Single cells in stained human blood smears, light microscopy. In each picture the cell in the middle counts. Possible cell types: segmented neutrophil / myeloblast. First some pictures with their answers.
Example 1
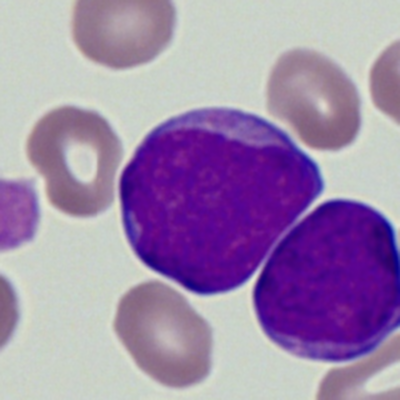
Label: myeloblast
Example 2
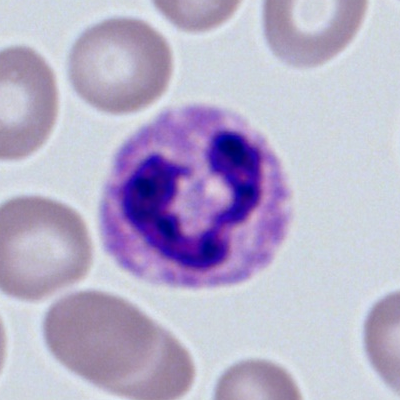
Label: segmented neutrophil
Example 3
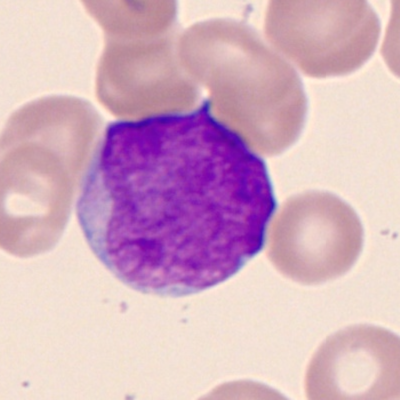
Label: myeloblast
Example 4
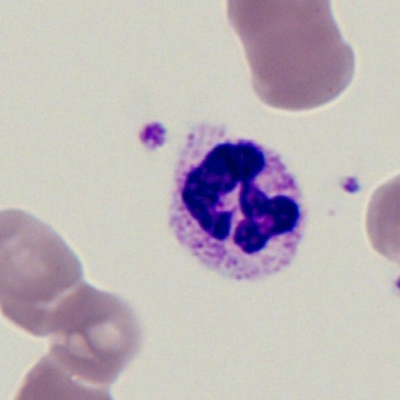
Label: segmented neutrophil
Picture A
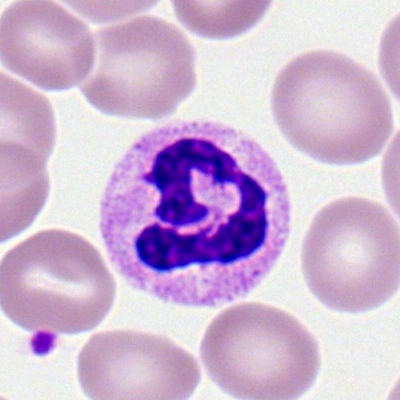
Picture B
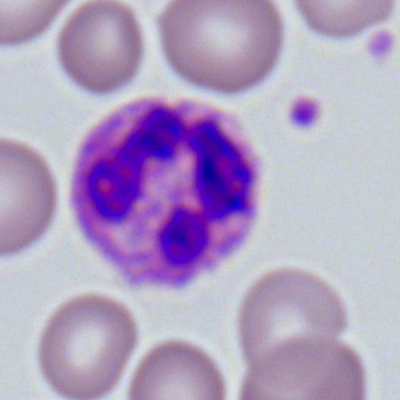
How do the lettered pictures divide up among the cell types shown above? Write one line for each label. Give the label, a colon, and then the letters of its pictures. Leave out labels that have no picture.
segmented neutrophil: A, B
